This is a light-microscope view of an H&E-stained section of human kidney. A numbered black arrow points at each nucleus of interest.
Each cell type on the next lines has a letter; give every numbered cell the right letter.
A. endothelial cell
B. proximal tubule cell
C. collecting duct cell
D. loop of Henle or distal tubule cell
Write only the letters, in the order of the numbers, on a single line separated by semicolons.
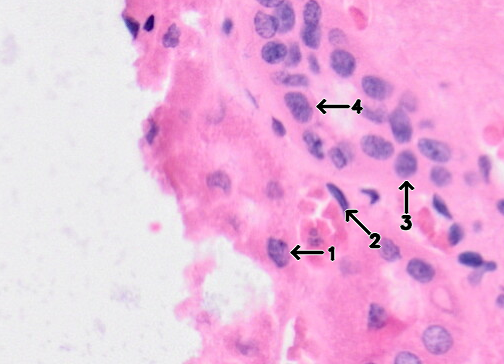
B; A; C; C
